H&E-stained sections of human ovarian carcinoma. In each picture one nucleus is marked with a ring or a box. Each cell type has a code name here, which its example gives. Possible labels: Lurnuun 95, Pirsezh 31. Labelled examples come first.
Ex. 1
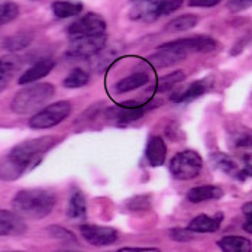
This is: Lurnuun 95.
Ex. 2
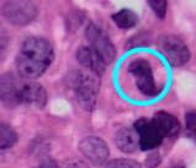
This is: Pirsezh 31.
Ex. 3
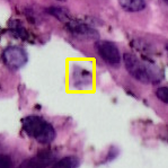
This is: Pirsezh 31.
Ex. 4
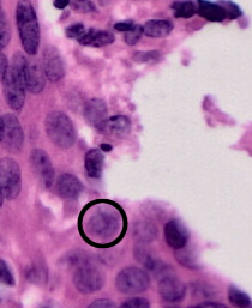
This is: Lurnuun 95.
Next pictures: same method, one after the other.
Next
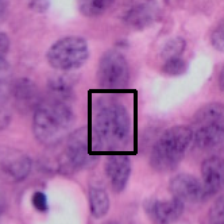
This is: Lurnuun 95.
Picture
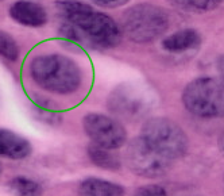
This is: Lurnuun 95.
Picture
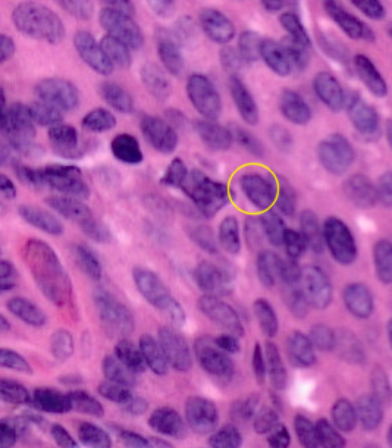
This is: Lurnuun 95.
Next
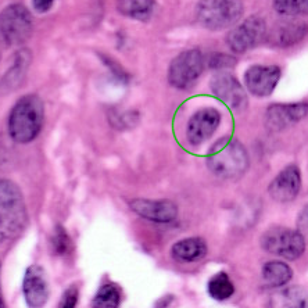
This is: Pirsezh 31.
